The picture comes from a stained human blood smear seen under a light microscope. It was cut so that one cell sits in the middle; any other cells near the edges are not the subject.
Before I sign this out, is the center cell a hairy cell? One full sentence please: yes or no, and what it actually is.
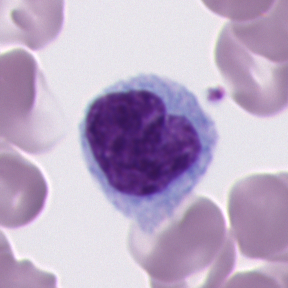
No, what is centred in the crop is not a hairy cell but a monocyte.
